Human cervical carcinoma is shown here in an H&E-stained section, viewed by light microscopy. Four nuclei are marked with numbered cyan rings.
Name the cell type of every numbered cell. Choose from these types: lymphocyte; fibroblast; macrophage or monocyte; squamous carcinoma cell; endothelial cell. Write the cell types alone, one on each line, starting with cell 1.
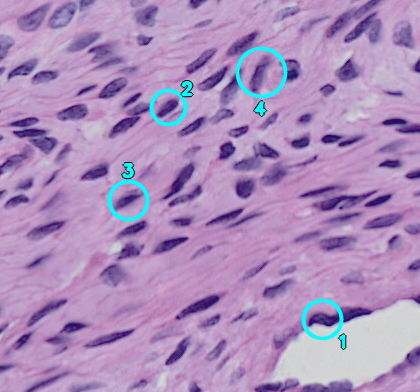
endothelial cell
fibroblast
fibroblast
fibroblast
